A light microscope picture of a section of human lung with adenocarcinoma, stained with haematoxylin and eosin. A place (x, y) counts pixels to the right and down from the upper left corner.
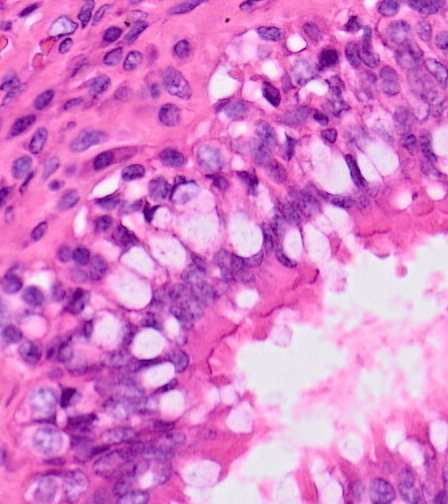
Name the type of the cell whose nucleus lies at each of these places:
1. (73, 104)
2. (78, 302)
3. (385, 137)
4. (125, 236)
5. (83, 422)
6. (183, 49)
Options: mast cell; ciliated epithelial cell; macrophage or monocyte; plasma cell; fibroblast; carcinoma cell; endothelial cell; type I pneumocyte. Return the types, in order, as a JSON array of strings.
["plasma cell", "ciliated epithelial cell", "ciliated epithelial cell", "ciliated epithelial cell", "ciliated epithelial cell", "plasma cell"]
